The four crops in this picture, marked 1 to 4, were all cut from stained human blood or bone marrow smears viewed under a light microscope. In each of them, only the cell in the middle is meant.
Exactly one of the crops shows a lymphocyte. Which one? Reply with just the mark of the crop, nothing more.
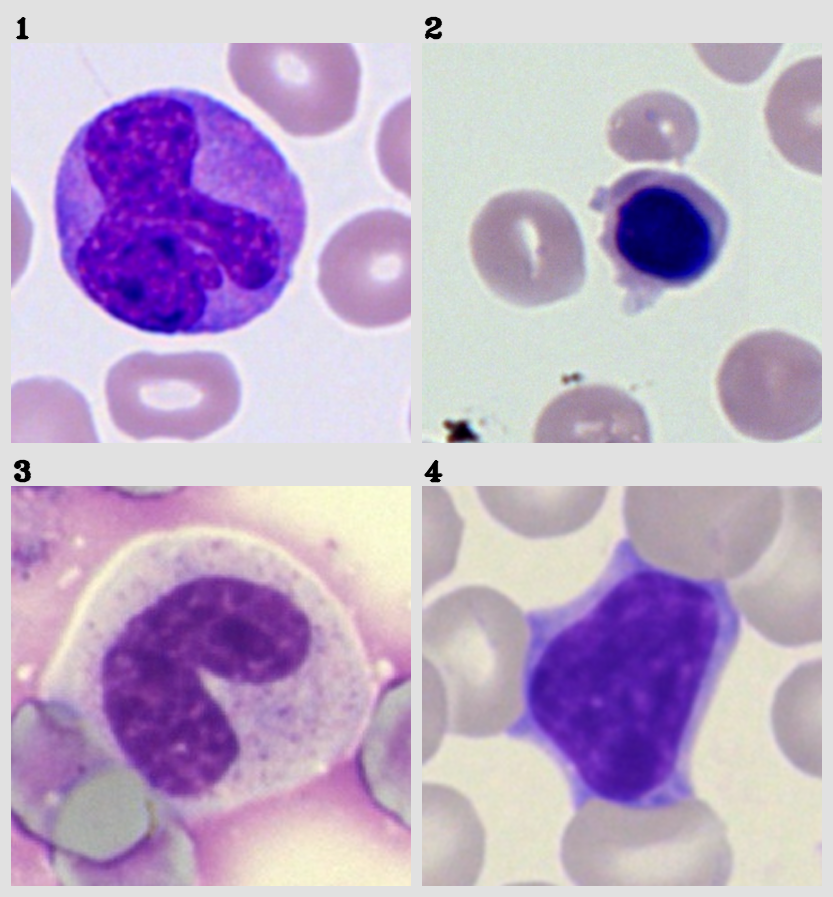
4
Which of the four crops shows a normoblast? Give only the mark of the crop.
2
